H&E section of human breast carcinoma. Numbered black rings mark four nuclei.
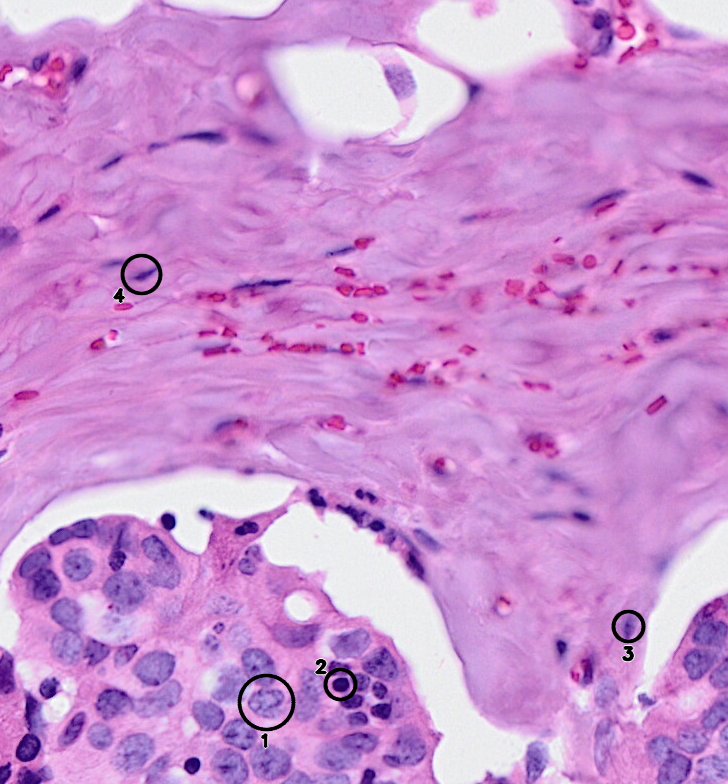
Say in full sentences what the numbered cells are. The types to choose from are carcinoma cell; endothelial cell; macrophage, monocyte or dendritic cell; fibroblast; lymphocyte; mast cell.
Cell 1 is a carcinoma cell, cell 2 is a lymphocyte, cell 3 is a fibroblast and cell 4 is a fibroblast.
